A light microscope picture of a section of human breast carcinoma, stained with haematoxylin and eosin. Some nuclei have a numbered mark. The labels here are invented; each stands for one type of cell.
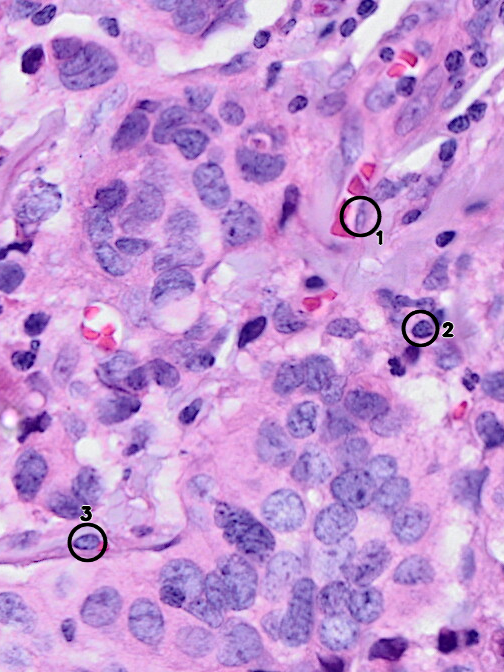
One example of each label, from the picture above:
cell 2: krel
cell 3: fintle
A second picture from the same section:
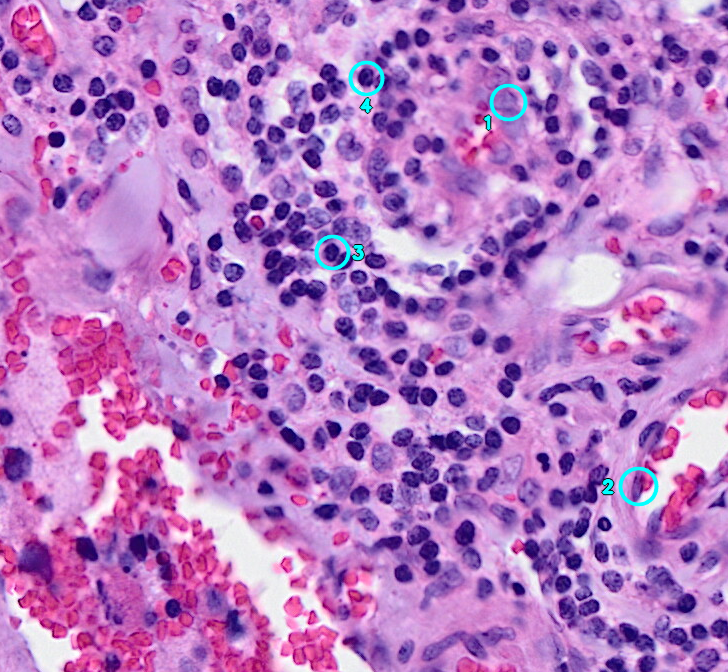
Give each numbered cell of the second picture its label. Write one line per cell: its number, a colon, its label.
1: fintle
2: fintle
3: krel
4: krel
